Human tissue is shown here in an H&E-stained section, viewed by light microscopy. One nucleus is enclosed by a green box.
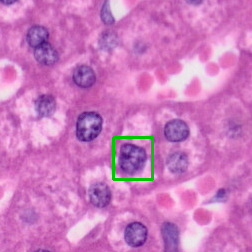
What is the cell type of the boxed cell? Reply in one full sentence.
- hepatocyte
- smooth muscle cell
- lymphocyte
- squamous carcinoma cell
In this section, the boxed cell is a hepatocyte.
